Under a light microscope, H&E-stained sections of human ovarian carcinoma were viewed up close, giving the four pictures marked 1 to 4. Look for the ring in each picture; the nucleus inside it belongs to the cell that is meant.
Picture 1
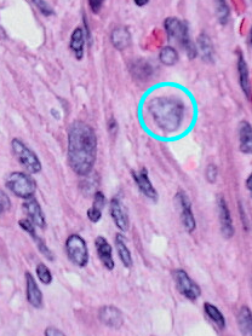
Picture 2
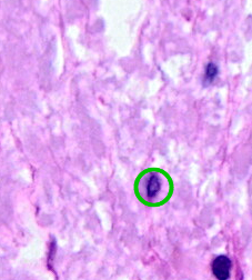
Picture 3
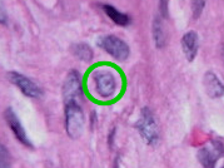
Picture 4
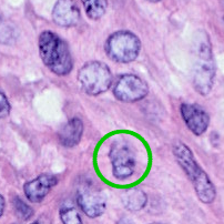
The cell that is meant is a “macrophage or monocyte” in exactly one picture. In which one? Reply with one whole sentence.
It is picture 2 that shows the “macrophage or monocyte”.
